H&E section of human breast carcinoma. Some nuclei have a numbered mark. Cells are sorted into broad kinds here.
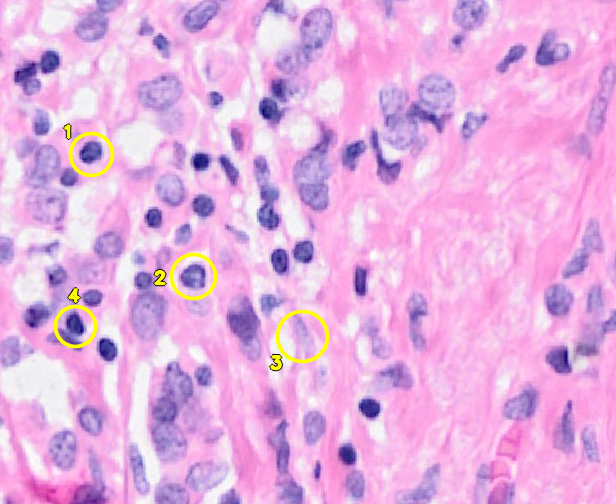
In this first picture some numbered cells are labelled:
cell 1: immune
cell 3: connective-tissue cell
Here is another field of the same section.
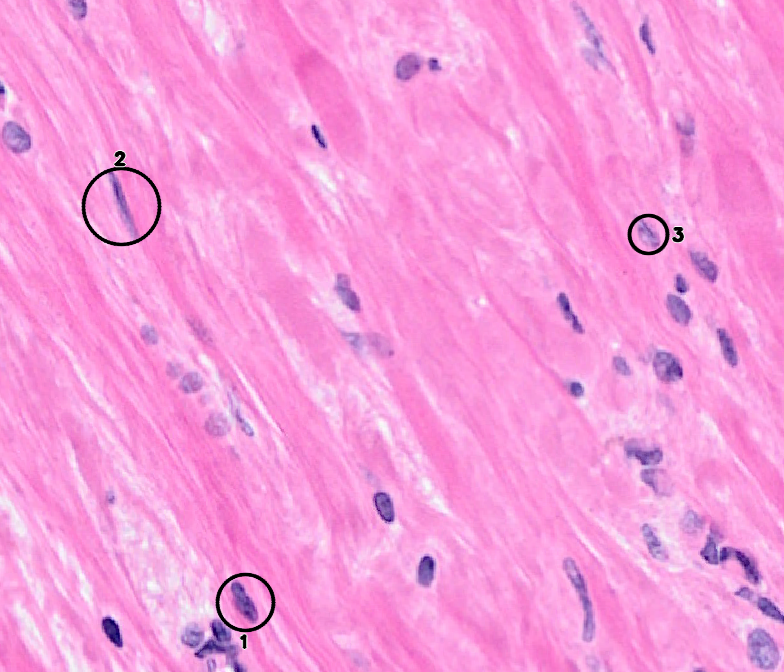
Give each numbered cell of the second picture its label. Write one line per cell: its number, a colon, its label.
1: immune
2: connective-tissue cell
3: connective-tissue cell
